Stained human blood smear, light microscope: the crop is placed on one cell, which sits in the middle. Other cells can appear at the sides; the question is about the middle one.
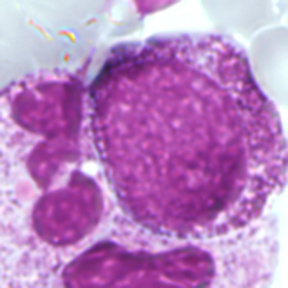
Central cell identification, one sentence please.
Present in the middle of the crop is a promyelocyte.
